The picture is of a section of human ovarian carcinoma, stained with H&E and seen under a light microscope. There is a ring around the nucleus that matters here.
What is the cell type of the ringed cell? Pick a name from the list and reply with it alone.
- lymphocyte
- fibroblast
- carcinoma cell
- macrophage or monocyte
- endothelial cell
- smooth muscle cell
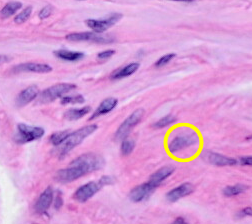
smooth muscle cell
